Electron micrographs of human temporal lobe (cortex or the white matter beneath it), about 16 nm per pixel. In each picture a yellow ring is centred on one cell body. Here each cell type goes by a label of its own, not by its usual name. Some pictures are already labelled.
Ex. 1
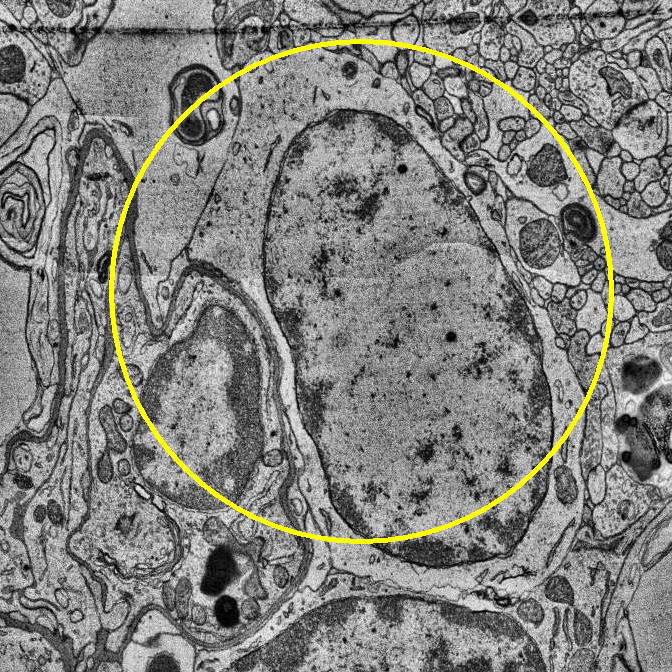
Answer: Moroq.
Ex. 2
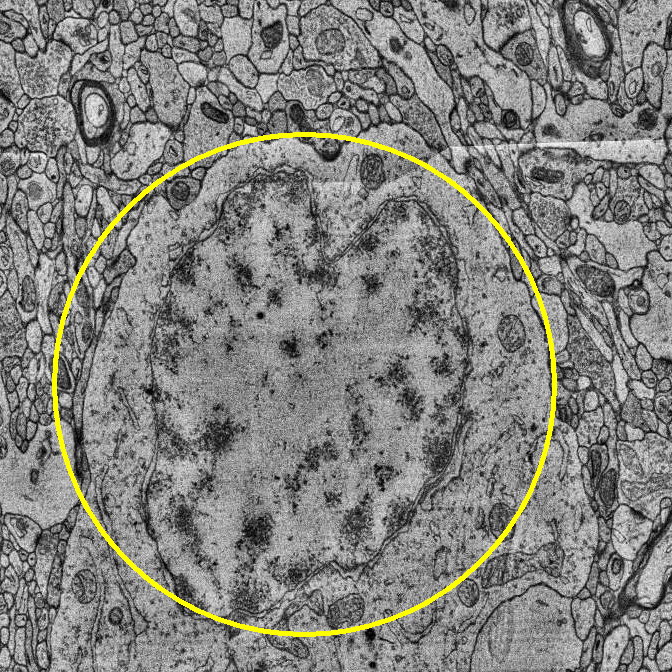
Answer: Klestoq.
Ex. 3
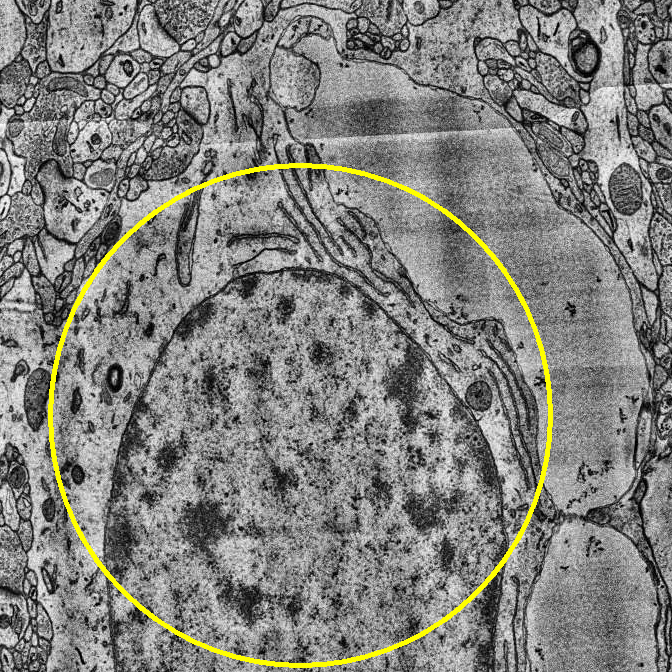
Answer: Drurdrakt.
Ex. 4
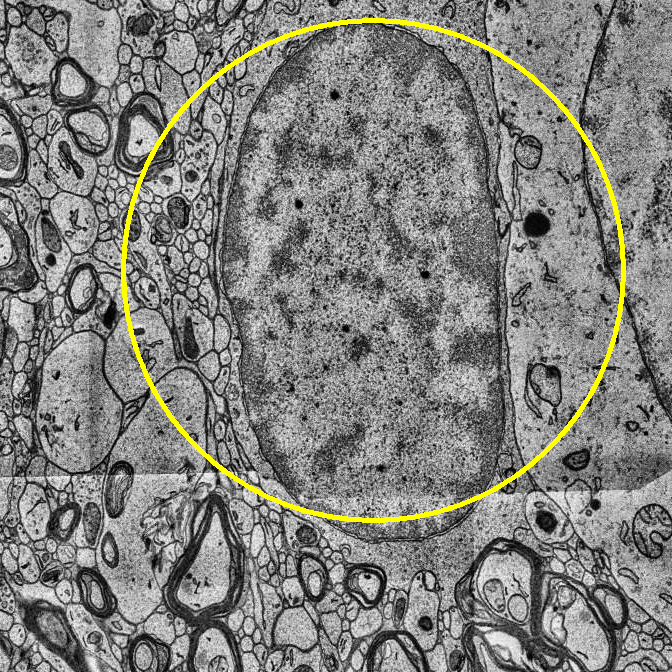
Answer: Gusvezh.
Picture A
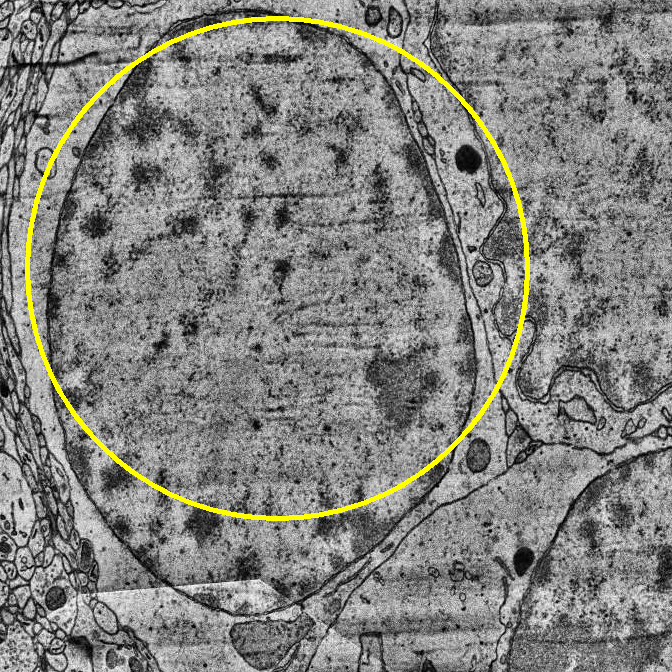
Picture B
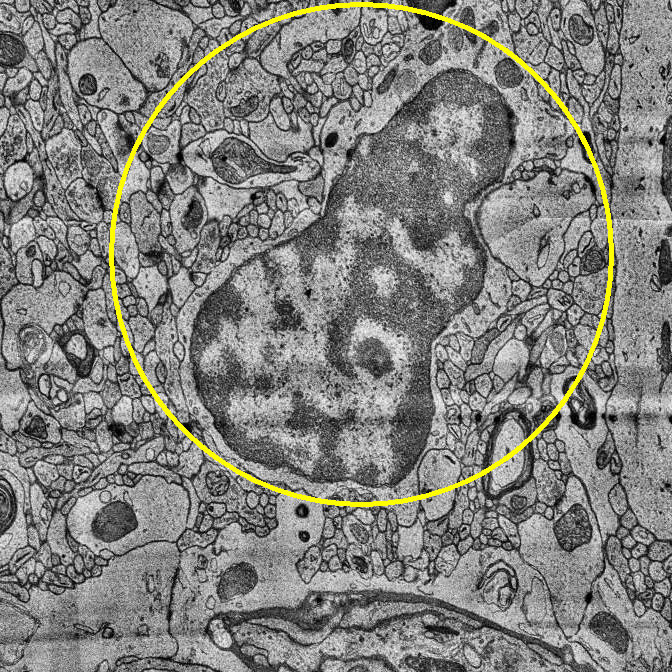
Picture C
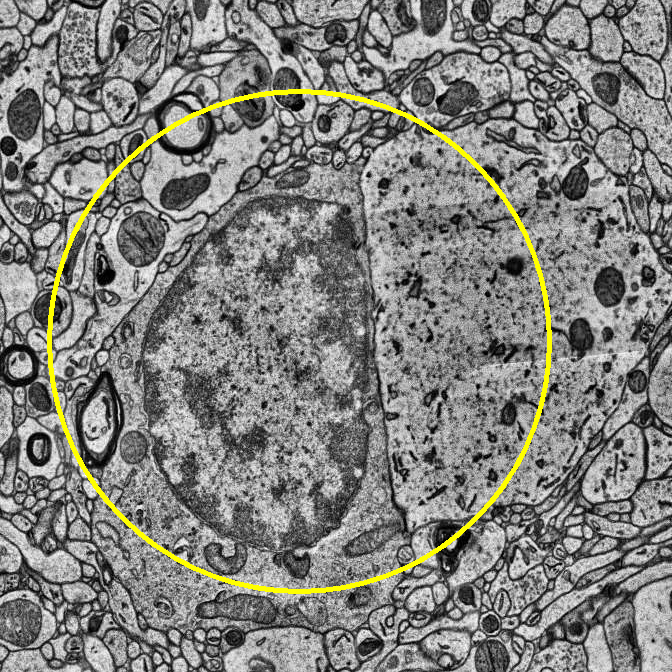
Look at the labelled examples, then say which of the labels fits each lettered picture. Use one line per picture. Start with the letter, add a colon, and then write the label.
A: Drurdrakt.
B: Moroq.
C: Gusvezh.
